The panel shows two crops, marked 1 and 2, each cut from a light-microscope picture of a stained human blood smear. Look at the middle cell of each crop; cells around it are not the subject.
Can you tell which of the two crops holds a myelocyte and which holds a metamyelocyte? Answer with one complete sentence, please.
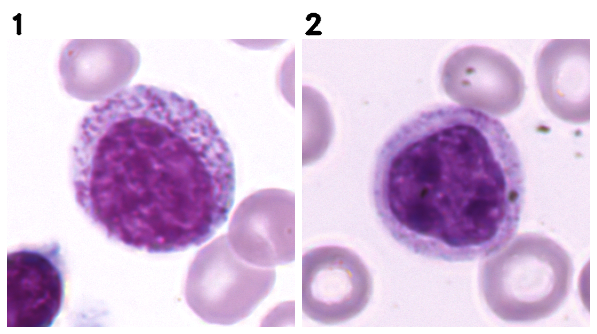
Crop 1 displays a myelocyte, and crop 2 displays a metamyelocyte.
